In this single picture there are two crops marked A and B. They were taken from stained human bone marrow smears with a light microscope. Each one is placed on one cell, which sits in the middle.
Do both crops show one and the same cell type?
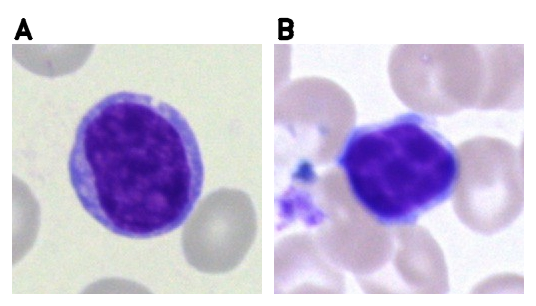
yes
